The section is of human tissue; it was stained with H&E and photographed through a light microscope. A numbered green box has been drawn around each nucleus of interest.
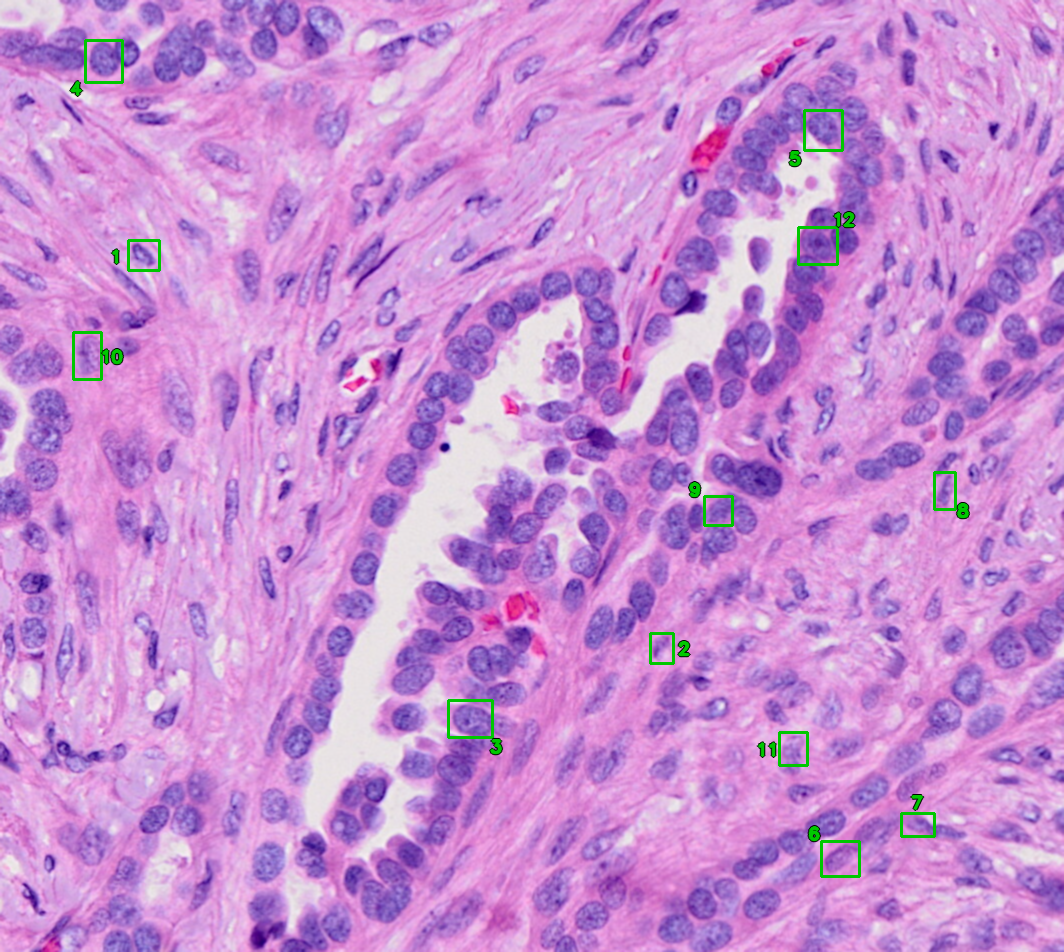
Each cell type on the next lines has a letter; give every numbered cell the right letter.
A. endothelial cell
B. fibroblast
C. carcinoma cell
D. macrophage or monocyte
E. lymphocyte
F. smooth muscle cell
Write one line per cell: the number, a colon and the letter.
1: B
2: B
3: C
4: C
5: C
6: B
7: B
8: B
9: C
10: B
11: B
12: C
